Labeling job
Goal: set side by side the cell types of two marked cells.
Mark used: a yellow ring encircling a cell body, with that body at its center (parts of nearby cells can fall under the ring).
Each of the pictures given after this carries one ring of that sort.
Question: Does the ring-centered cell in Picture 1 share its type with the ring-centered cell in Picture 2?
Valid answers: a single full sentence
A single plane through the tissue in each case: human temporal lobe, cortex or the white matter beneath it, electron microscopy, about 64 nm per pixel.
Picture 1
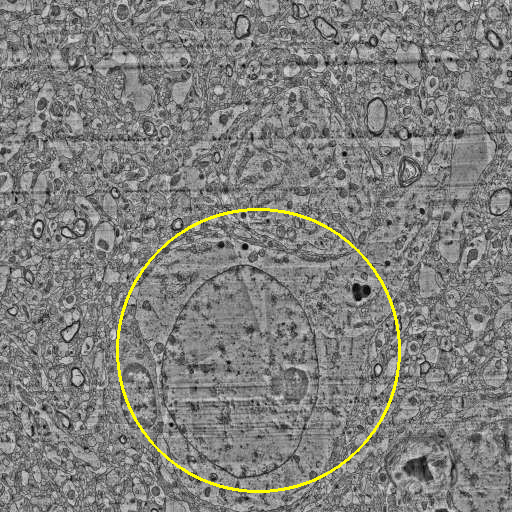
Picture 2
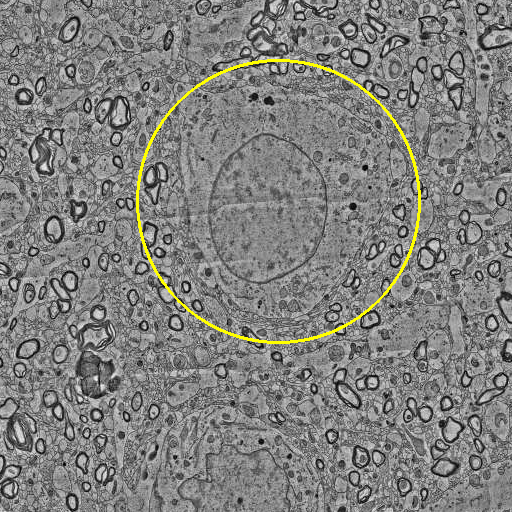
Yes, in Pictures 1 and 2 the cells at the ring centers share one type.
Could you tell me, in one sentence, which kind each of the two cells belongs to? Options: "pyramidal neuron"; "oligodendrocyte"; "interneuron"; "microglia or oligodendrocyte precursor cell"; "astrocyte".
Both cells are the same kind, each one being a pyramidal neuron.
